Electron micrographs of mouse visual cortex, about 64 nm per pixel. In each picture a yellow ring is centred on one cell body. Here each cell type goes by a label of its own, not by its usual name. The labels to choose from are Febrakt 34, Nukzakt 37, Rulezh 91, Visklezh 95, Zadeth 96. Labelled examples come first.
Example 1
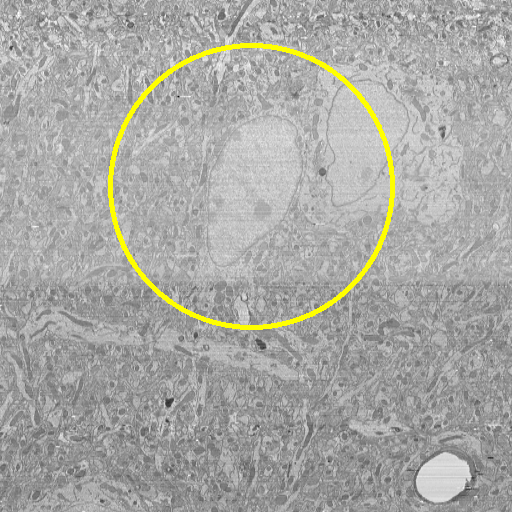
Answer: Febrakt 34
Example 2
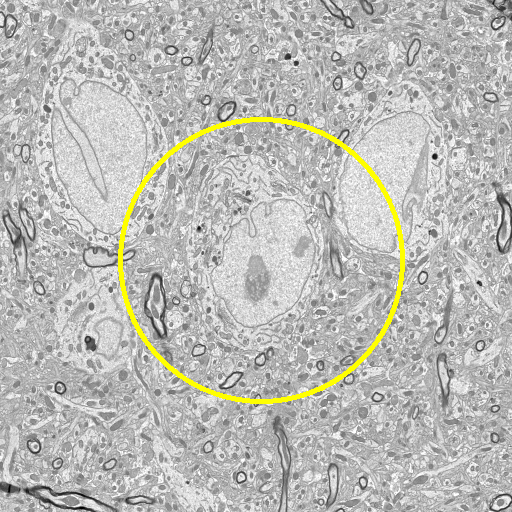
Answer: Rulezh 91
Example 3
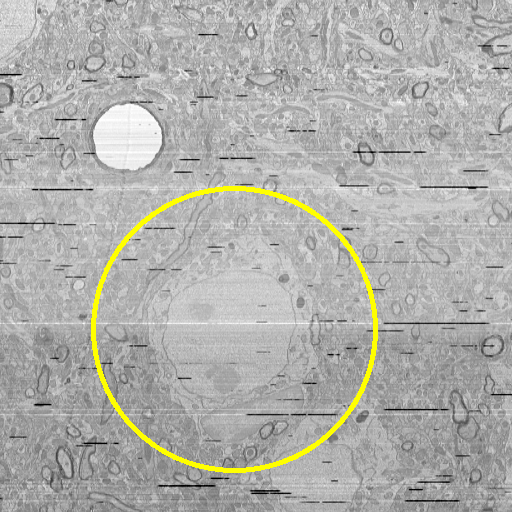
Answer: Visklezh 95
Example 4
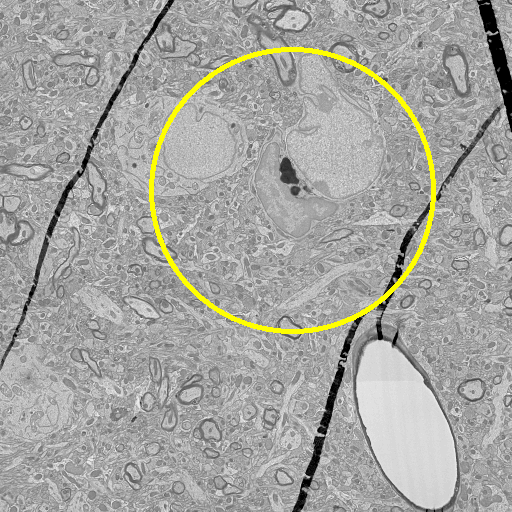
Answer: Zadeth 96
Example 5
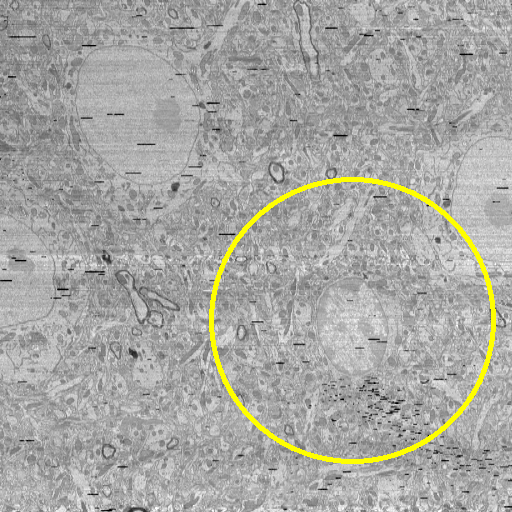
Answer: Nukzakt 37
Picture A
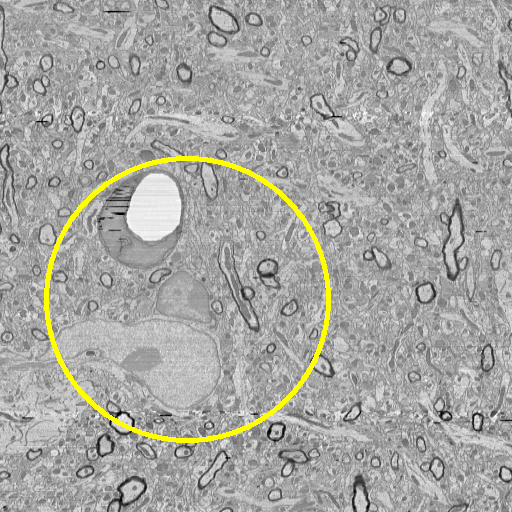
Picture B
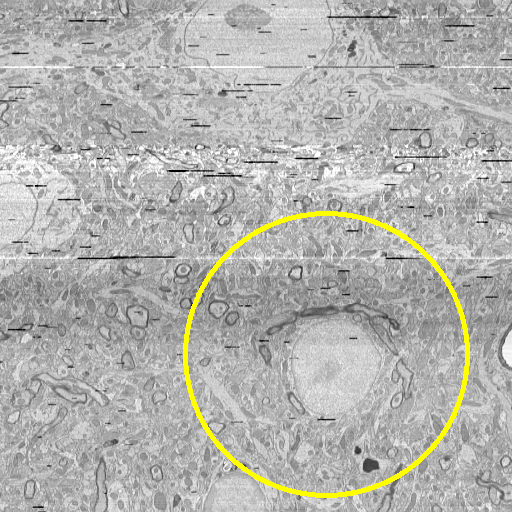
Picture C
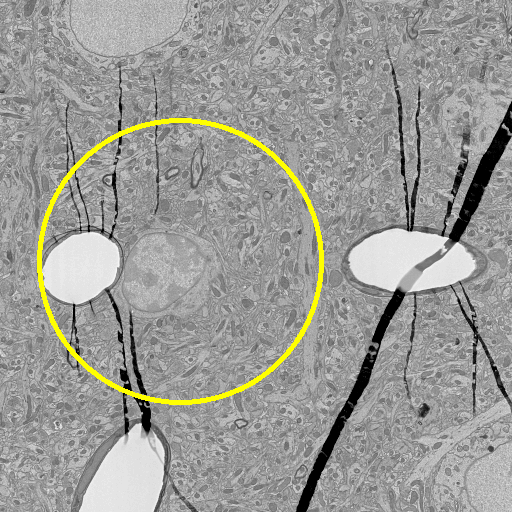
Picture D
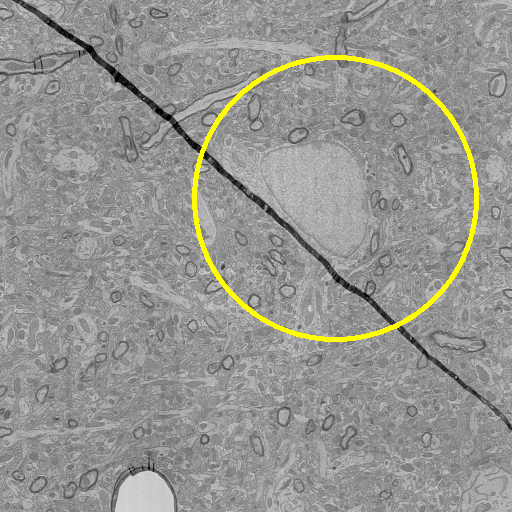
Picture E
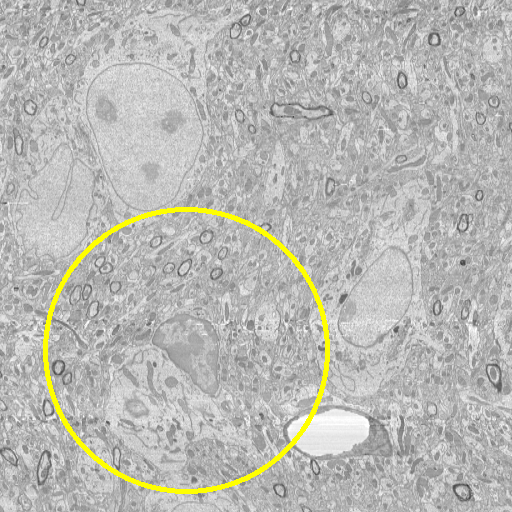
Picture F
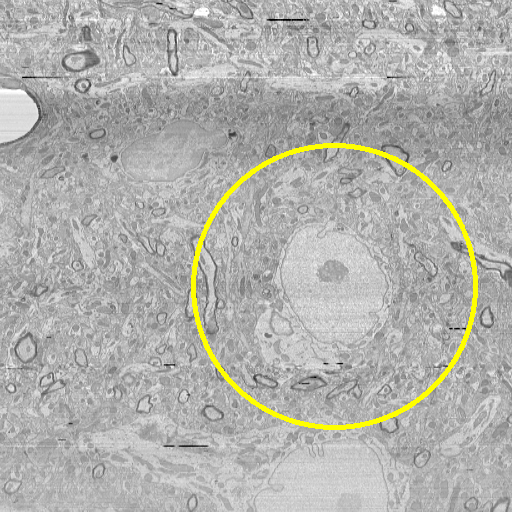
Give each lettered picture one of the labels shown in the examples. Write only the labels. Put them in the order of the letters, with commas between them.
Zadeth 96, Febrakt 34, Nukzakt 37, Febrakt 34, Zadeth 96, Rulezh 91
